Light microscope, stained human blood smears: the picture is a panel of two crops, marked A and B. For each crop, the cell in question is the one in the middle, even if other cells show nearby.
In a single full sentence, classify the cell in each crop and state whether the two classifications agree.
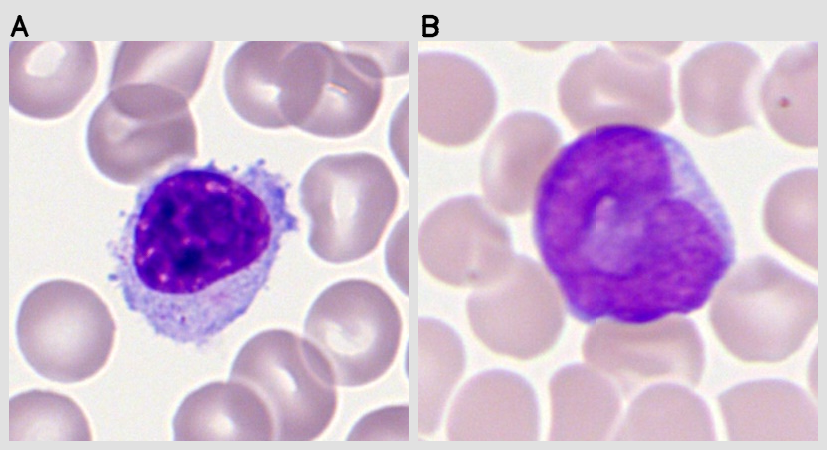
No, the cell centred in crop A is a lymphocyte, and that centred in crop B is a blast.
